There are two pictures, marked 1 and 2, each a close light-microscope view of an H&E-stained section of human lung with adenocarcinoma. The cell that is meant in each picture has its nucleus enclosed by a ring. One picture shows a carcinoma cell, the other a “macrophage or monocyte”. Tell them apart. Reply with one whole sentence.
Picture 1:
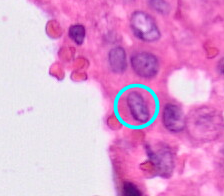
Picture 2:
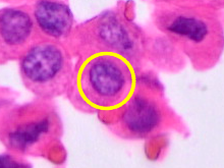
Picture 1 is of a “macrophage or monocyte”, and picture 2 is of a carcinoma cell.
